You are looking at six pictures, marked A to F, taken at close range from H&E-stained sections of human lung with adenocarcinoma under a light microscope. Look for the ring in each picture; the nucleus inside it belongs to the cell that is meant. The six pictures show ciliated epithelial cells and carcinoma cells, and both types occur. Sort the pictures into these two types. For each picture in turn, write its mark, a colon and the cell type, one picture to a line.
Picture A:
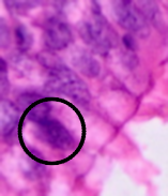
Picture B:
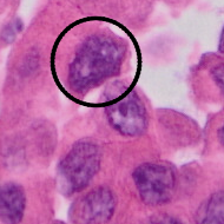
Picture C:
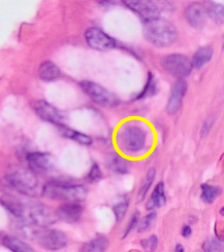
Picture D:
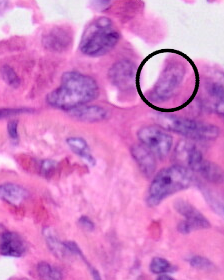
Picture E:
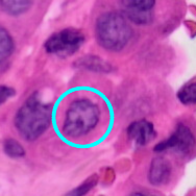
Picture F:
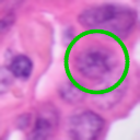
A: ciliated epithelial cell
B: carcinoma cell
C: ciliated epithelial cell
D: carcinoma cell
E: carcinoma cell
F: carcinoma cell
